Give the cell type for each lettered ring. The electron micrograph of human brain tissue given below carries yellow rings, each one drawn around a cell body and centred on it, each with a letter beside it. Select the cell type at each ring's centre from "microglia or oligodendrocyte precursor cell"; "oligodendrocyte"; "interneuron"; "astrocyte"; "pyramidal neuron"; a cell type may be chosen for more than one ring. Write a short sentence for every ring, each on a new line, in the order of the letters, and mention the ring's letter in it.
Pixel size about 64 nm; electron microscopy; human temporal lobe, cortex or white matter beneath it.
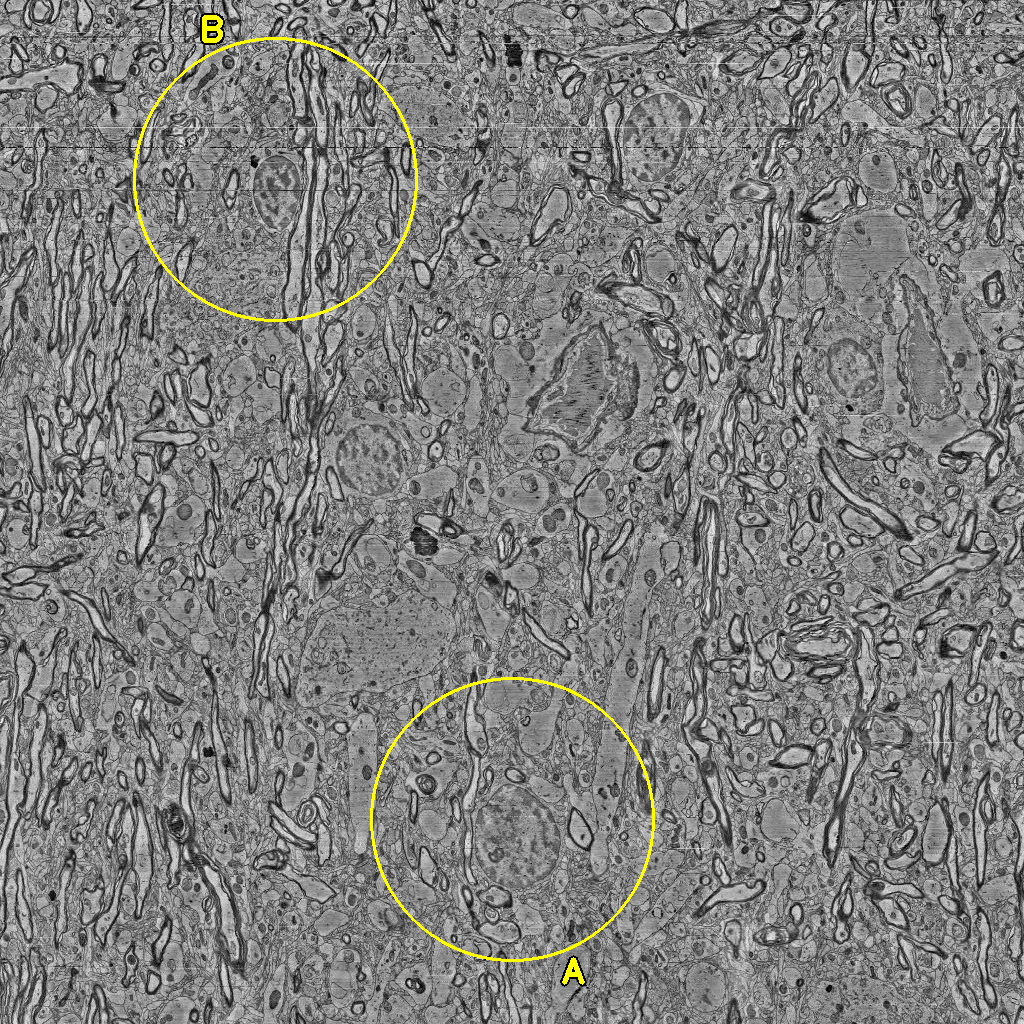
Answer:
The cell type for ring A is an oligodendrocyte.
The cell type for ring B is a microglial cell or oligodendrocyte precursor cell.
